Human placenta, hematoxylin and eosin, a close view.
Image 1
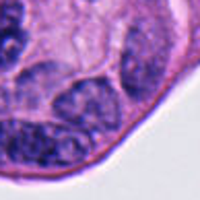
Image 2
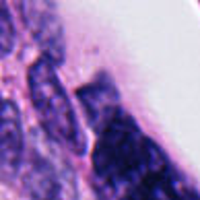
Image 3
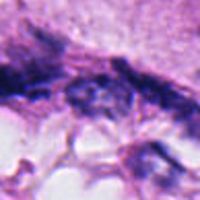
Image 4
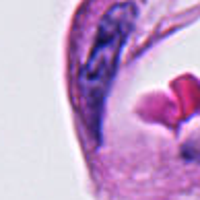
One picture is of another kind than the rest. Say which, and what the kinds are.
Picture 2 shows a syncytial knot; the rest show cytotrophoblasts.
